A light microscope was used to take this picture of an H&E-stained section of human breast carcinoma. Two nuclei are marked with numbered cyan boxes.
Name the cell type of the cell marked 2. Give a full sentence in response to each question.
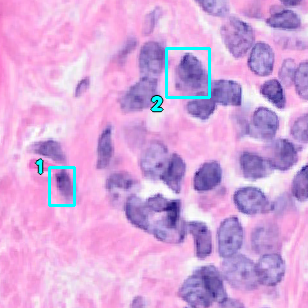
Number 2 is placed on a carcinoma cell here.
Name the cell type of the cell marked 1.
The cell marked with the number 1 is an endothelial cell.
